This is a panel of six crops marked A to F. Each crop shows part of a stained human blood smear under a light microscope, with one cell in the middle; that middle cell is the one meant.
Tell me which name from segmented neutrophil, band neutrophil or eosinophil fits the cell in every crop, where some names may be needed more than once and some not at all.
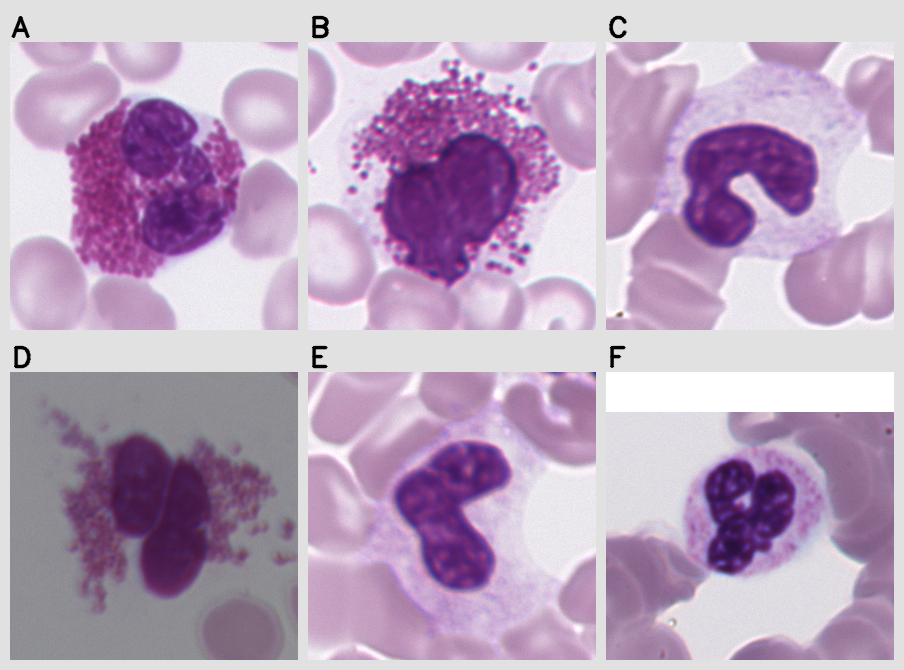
A: eosinophil
B: eosinophil
C: band neutrophil
D: eosinophil
E: band neutrophil
F: segmented neutrophil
